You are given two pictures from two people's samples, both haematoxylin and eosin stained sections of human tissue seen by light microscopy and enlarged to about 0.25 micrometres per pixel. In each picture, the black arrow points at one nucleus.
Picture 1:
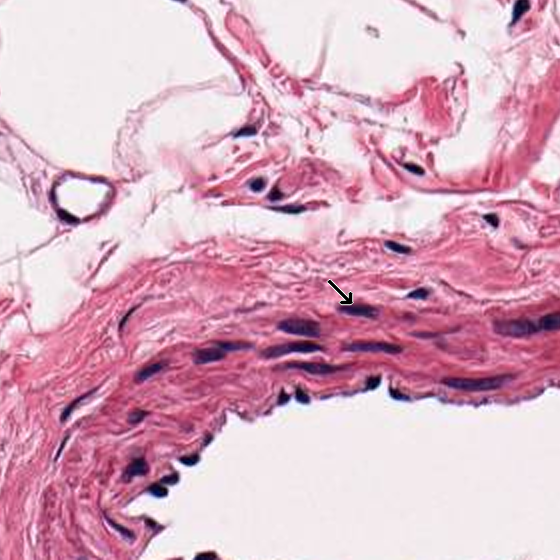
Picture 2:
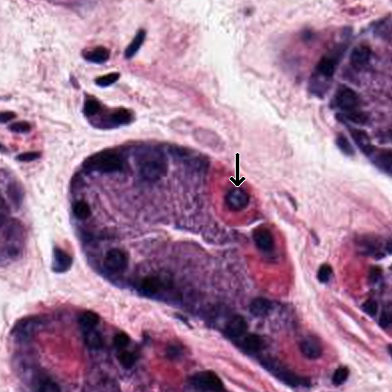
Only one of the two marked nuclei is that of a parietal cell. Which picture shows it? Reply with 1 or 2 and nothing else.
2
